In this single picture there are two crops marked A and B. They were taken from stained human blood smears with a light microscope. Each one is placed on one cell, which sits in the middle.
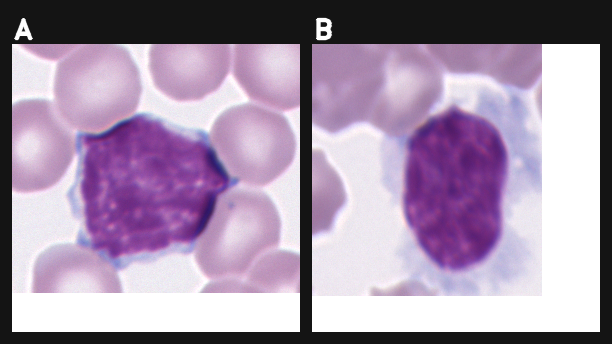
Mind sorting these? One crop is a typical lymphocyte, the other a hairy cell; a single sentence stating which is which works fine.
Crop A is labelled a typical lymphocyte, and crop B is labelled a hairy cell.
